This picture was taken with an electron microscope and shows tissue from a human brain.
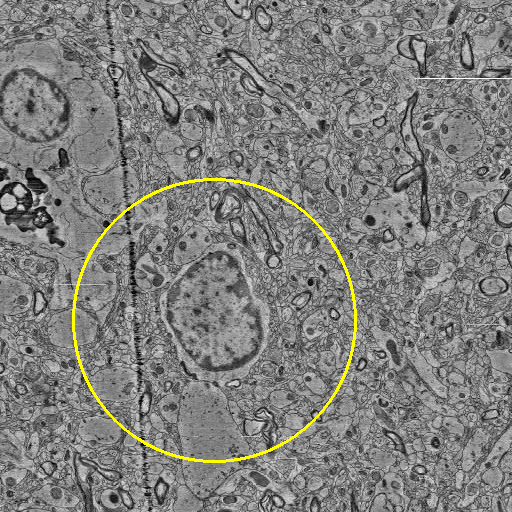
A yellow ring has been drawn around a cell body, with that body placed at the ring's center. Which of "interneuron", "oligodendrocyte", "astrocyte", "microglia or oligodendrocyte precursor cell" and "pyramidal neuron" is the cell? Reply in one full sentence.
In this picture, a microglial cell or oligodendrocyte precursor cell is the cell at the center of the yellow ring.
